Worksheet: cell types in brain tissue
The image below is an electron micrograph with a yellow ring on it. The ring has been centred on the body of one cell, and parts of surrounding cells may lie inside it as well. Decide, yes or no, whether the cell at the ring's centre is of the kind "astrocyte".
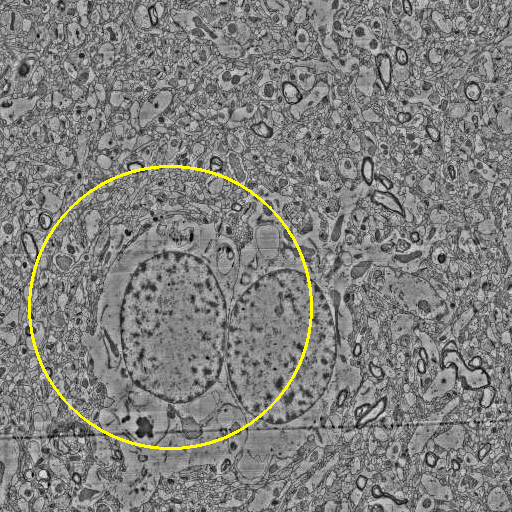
yes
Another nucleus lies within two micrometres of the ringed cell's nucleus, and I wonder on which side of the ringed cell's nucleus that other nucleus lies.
That other nucleus appears to the right of it.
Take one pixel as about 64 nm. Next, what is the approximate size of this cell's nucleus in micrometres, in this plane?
About 10 by 7 micrometres in this plane.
